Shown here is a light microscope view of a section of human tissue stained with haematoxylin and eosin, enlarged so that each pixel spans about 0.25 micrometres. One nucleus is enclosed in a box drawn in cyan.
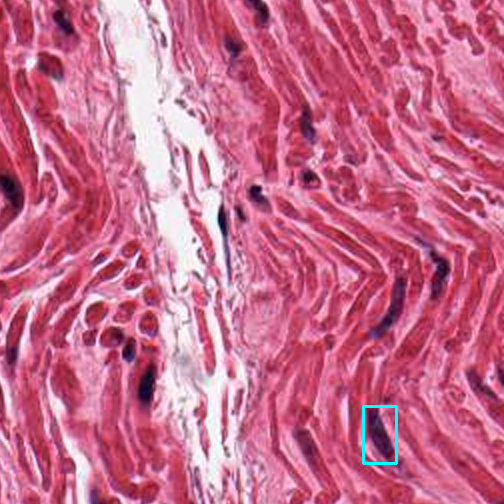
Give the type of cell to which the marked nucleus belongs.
smooth muscle cell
